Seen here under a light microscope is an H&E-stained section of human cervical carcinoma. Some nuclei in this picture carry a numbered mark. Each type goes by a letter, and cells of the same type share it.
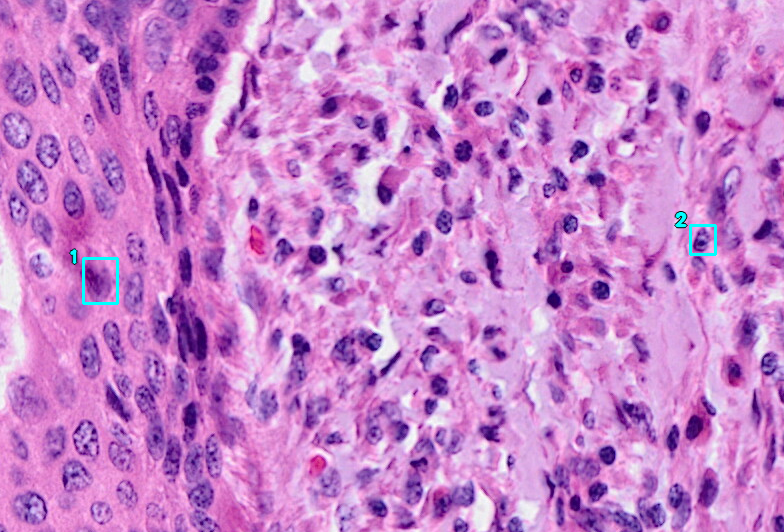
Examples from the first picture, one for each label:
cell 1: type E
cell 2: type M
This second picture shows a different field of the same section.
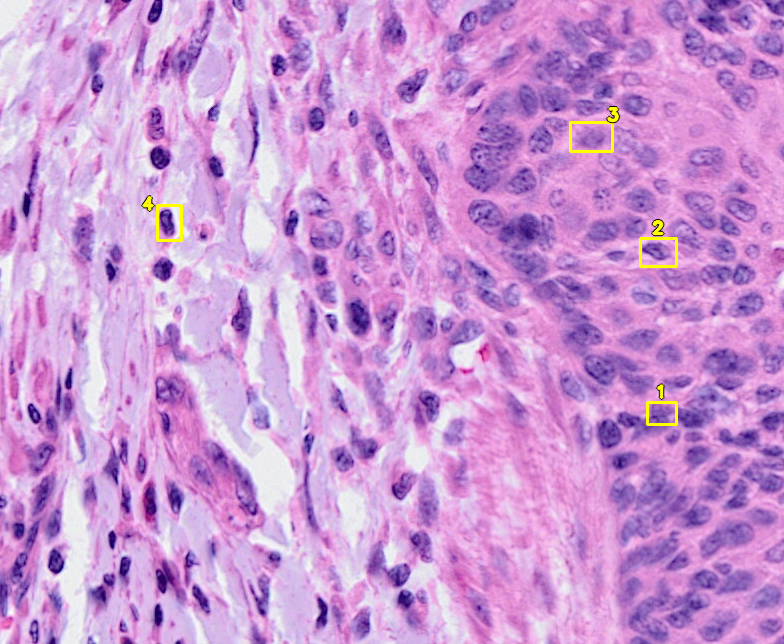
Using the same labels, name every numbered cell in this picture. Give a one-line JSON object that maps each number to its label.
{"1": "type E", "2": "type E", "3": "type E", "4": "type M"}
